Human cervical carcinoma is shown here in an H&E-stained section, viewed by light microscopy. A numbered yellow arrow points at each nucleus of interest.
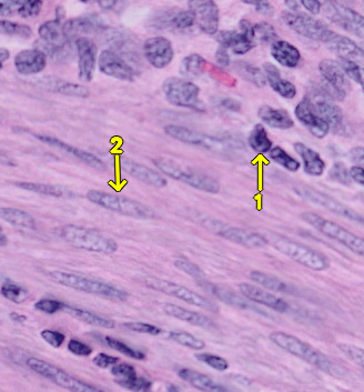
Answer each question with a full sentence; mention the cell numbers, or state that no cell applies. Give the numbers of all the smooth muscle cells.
Only at number 2 is there a smooth muscle cell.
